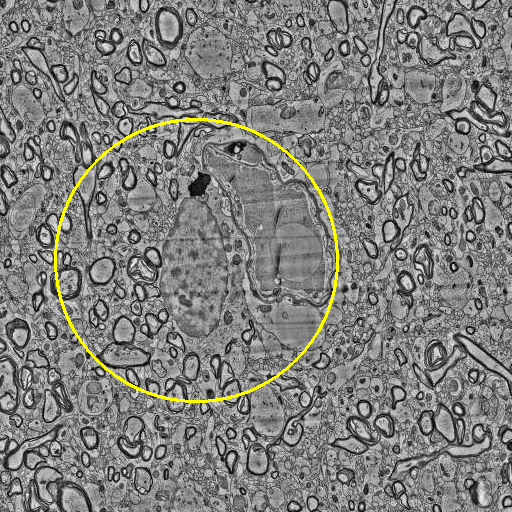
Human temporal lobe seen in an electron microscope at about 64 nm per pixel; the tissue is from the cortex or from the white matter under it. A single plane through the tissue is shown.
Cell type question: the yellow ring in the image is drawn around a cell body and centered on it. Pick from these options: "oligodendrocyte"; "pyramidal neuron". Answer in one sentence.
The ringed cell at the center is an oligodendrocyte.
